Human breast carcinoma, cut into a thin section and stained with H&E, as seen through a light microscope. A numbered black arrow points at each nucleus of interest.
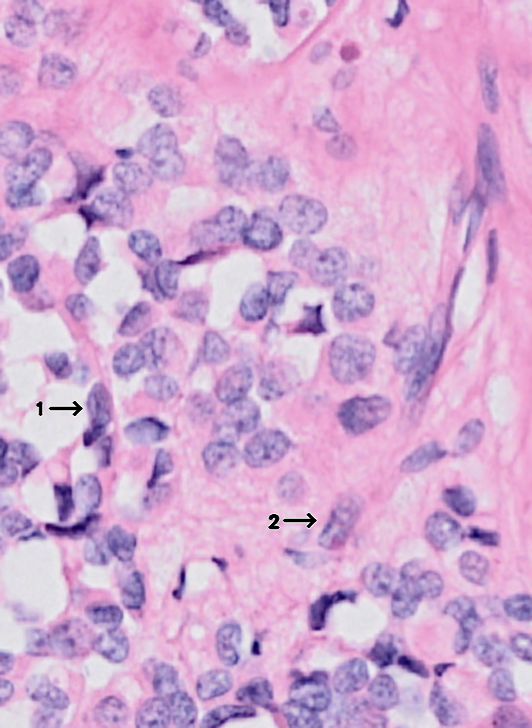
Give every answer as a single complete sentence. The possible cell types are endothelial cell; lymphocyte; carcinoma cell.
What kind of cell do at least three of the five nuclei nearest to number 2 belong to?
The majority of the five nuclei closest to number 2 belong to carcinoma cells.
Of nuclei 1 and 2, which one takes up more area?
The larger nucleus is 2, at roughly 1.5 times the area of 1.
